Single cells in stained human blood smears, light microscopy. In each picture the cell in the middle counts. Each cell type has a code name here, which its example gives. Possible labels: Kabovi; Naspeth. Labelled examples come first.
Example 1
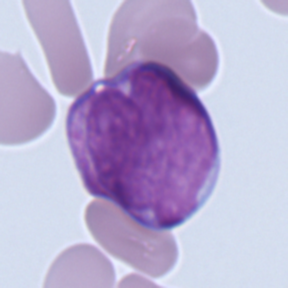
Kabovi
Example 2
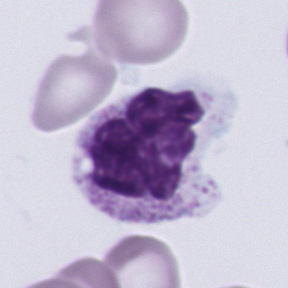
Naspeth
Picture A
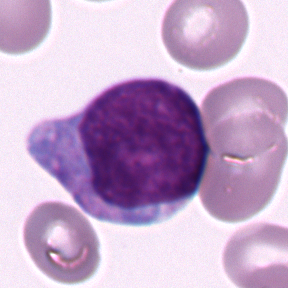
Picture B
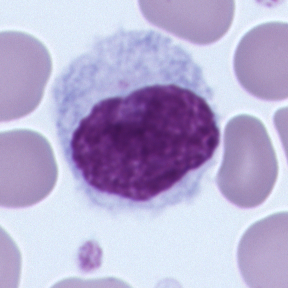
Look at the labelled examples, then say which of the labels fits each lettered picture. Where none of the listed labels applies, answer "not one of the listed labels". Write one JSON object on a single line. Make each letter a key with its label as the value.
{"A": "Kabovi", "B": "not one of the listed labels"}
